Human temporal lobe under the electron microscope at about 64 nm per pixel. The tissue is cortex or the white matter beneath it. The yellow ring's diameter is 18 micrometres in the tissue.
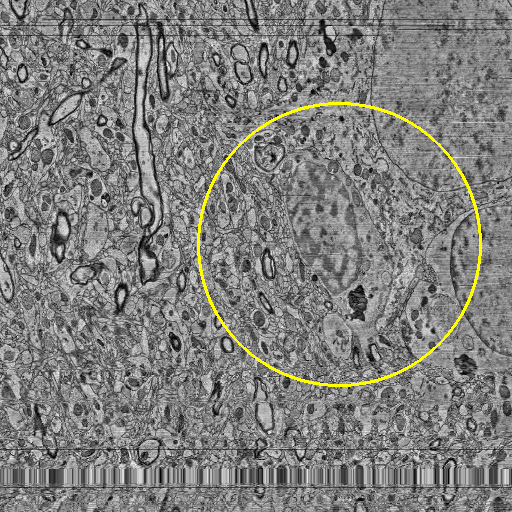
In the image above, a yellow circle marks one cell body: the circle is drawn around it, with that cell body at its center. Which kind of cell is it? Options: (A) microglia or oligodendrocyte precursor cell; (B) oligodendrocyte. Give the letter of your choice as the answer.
B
